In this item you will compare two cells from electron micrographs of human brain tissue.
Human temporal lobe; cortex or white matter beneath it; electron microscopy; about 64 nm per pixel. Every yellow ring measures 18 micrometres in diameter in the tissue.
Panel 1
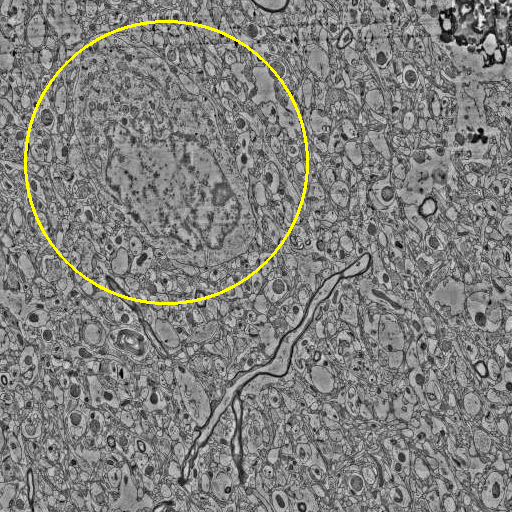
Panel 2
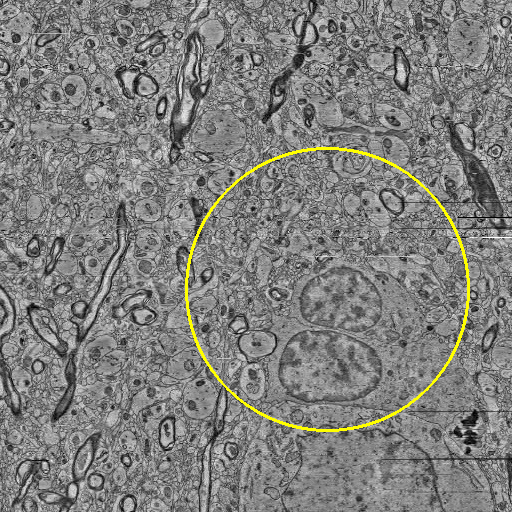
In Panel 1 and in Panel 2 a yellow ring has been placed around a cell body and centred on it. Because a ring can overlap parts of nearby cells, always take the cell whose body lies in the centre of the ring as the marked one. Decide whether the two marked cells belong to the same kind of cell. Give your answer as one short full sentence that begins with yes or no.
No, the two marked cells belong to two kinds of cell.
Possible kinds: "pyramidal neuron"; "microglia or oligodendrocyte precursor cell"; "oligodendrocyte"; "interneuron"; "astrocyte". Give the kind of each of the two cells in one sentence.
The cell in the second picture is an oligodendrocyte, and that in the first is an interneuron.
